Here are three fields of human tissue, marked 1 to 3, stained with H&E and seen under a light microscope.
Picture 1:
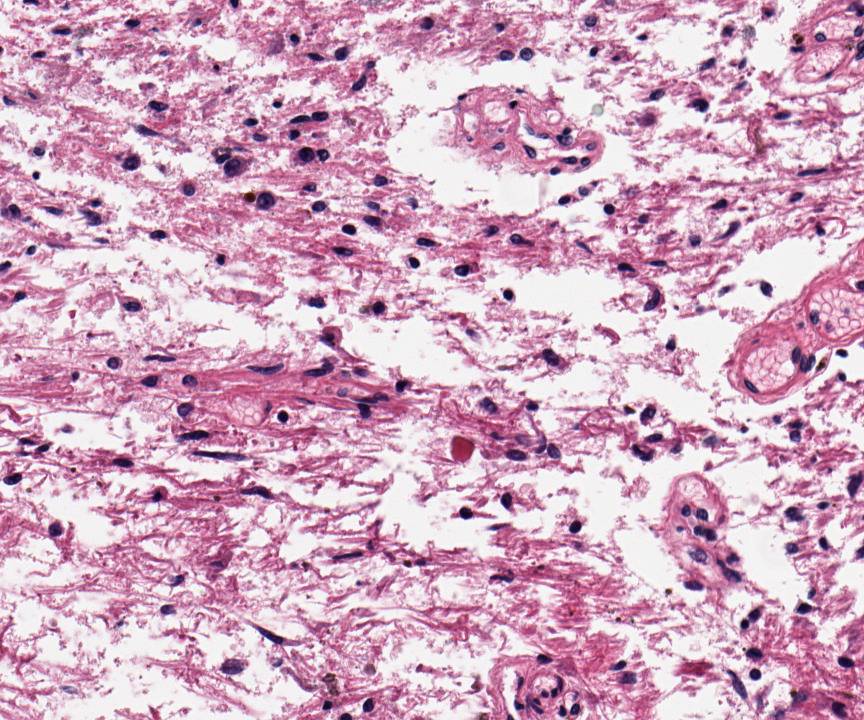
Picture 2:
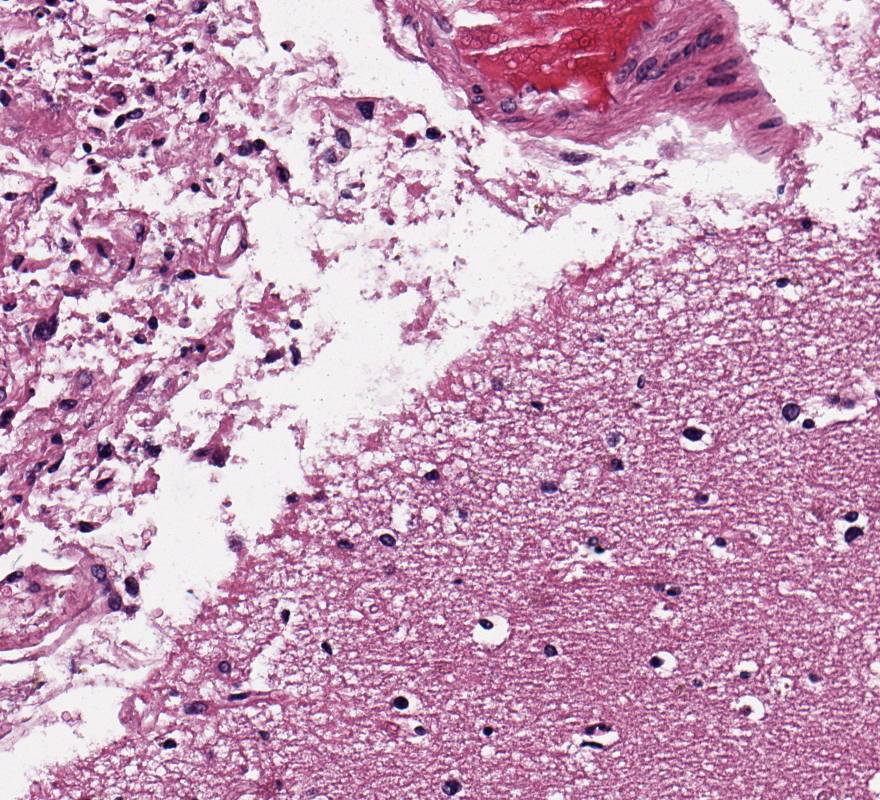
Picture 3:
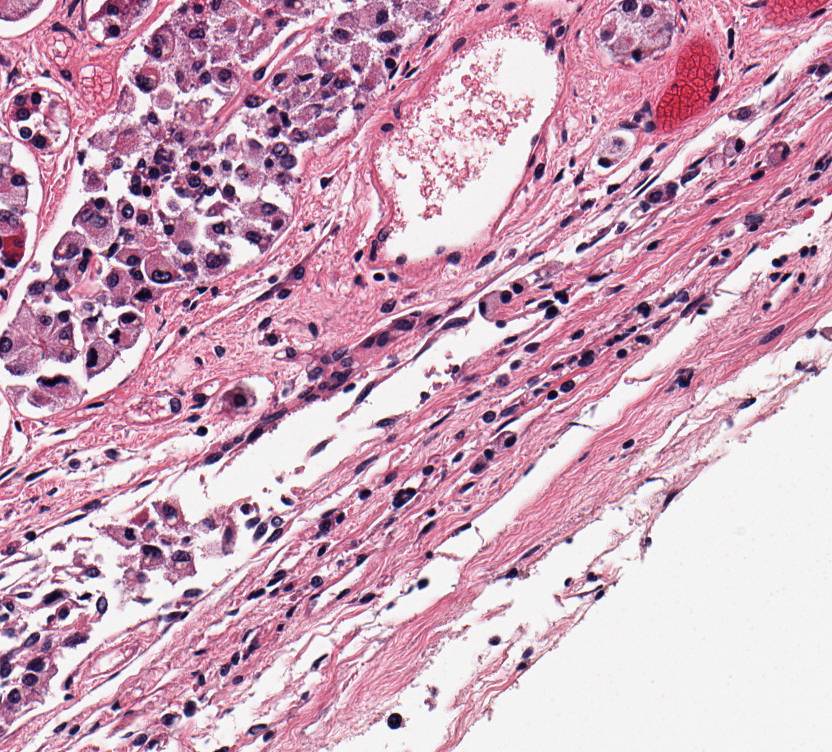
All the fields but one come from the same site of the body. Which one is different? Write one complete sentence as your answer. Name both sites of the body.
Picture 2 is the odd one out: it comes from the cerebral cortex, while the others come from the pituitary.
